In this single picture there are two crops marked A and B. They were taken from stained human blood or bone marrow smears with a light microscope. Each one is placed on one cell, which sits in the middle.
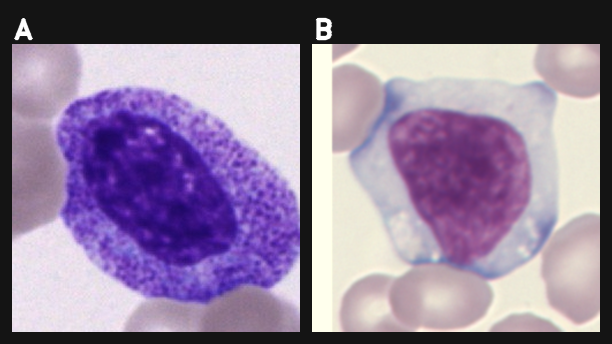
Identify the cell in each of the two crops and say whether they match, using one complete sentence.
No, crop A contains a myelocyte, and crop B contains a blast.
